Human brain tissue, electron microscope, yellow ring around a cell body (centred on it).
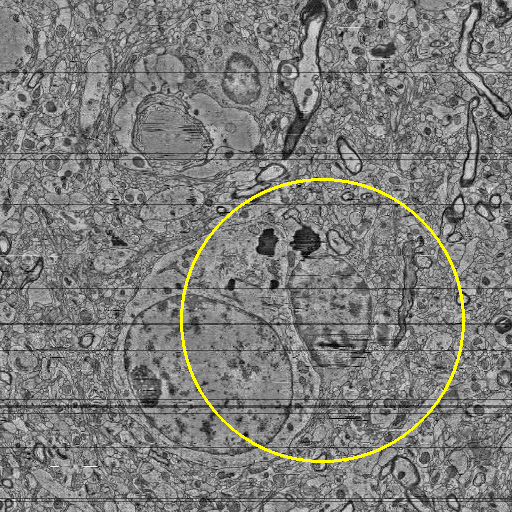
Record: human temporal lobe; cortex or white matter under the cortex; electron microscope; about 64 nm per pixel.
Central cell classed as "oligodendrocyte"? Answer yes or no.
yes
